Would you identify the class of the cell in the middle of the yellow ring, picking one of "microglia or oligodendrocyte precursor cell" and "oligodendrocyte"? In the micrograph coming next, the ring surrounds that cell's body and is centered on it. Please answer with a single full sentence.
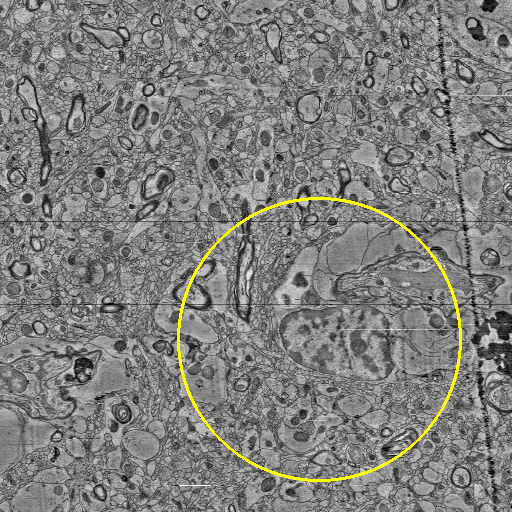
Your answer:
In the micrograph, it is a microglial cell or oligodendrocyte precursor cell whose body lies at the ring's center.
